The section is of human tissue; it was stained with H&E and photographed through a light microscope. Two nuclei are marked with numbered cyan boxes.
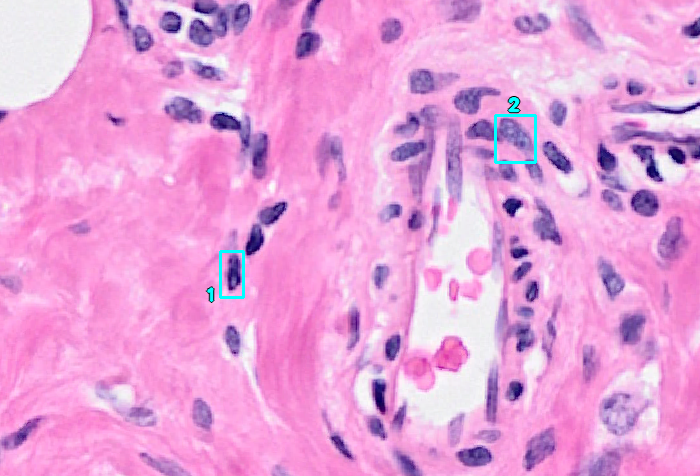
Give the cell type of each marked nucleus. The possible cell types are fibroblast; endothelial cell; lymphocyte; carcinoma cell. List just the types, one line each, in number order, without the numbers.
lymphocyte
endothelial cell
